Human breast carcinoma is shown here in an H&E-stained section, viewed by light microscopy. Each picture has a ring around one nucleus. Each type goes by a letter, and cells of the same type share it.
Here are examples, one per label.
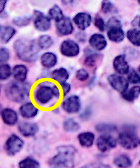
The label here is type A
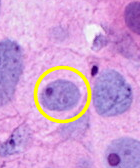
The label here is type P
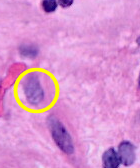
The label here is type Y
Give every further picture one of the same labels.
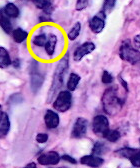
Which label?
type A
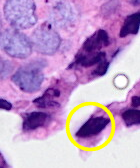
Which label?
type P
